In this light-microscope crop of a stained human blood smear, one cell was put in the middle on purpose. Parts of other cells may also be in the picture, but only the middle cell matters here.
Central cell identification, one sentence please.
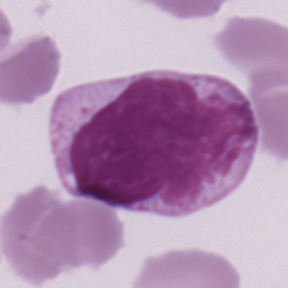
In this smear crop, the middle cell is a myeloblast.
